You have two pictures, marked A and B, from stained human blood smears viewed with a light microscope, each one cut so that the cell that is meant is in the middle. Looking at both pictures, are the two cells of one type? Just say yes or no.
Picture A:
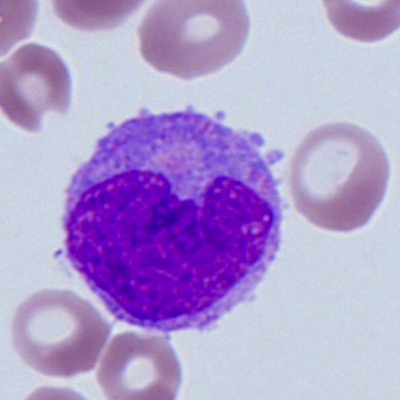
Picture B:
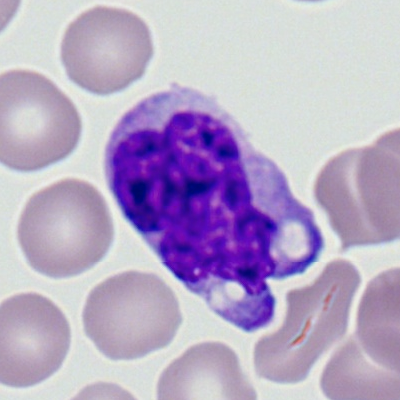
yes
